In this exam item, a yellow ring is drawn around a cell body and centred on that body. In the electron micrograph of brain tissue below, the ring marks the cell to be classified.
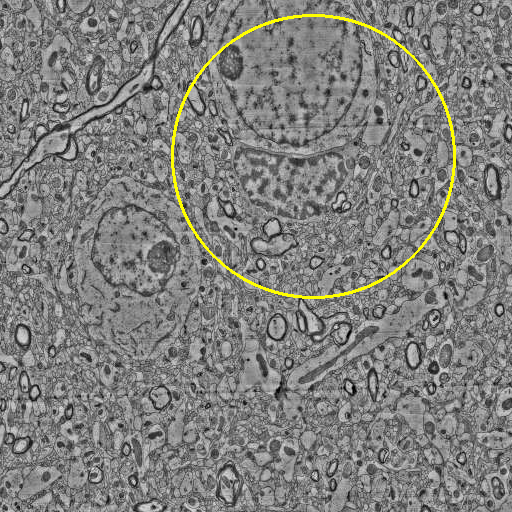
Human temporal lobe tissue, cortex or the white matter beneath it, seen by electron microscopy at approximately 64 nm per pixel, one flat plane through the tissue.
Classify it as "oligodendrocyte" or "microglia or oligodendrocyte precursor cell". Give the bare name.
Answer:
oligodendrocyte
